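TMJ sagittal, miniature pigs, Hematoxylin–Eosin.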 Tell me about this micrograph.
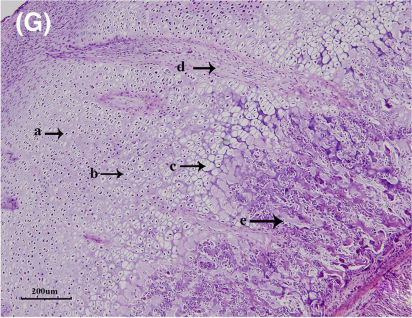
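This is cartilage of the mandibular condyle stained pink-purple, showing a sequence of cell zones. At the upper left are small, densely packed cells with little cytoplasm, grading into rounded chondrocytes sitting in lacunae. Toward the middle and right the cells enlarge greatly into pale, swollen hypertrophic chondrocytes with clear lacunae. Beyond them at the lower right lies denser purple, strand-like mineralized bone tissue, with an elongated pale channel of marrow cavity crossing the cartilage.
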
